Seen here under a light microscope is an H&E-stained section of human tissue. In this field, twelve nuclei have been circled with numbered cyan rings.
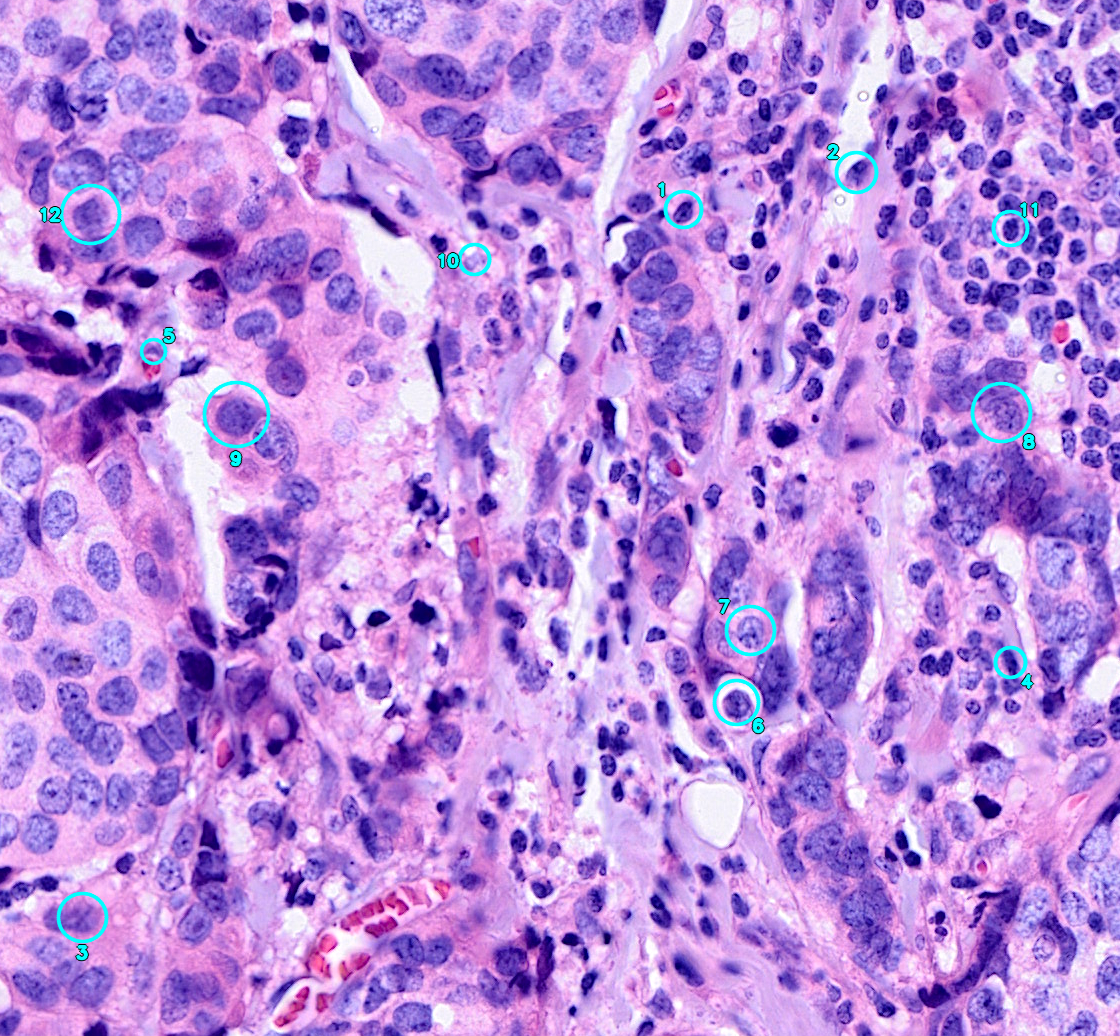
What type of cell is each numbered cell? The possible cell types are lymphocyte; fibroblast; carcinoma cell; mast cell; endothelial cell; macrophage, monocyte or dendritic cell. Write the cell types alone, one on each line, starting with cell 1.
lymphocyte
lymphocyte
carcinoma cell
lymphocyte
endothelial cell
carcinoma cell
carcinoma cell
carcinoma cell
carcinoma cell
macrophage, monocyte or dendritic cell
lymphocyte
carcinoma cell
